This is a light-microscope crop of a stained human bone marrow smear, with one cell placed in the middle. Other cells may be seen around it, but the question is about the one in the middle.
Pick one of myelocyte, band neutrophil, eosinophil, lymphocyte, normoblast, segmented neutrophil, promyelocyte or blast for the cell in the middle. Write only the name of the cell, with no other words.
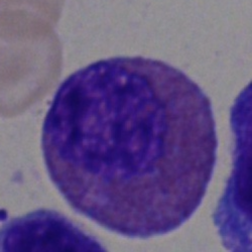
eosinophil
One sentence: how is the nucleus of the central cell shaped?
The cell carries one compact nucleus shaped round, oval or like a kidney.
